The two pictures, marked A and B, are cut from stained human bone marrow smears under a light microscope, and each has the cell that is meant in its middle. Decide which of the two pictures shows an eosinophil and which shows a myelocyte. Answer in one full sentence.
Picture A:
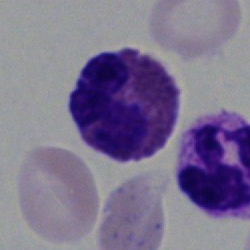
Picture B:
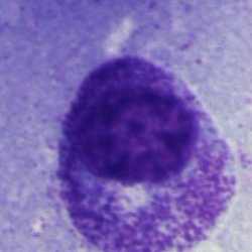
Picture B shows a myelocyte, while picture A shows an eosinophil.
